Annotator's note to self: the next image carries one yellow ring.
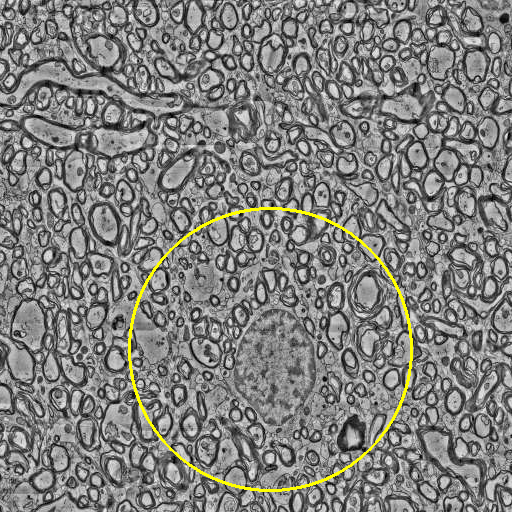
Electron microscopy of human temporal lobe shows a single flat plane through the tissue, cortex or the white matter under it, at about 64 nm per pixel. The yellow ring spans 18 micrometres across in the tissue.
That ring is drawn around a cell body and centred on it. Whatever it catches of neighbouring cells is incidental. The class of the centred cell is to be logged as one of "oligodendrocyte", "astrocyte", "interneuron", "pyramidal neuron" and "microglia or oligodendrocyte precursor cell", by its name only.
oligodendrocyte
